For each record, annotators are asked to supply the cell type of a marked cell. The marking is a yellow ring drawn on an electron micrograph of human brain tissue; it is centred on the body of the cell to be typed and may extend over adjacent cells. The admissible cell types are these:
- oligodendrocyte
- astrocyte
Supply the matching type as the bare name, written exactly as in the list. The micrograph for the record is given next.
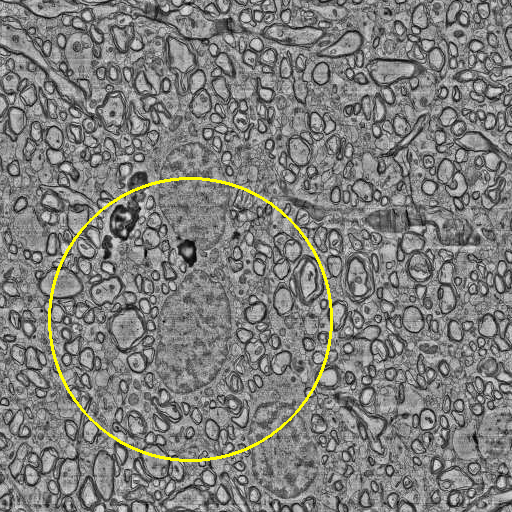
oligodendrocyte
